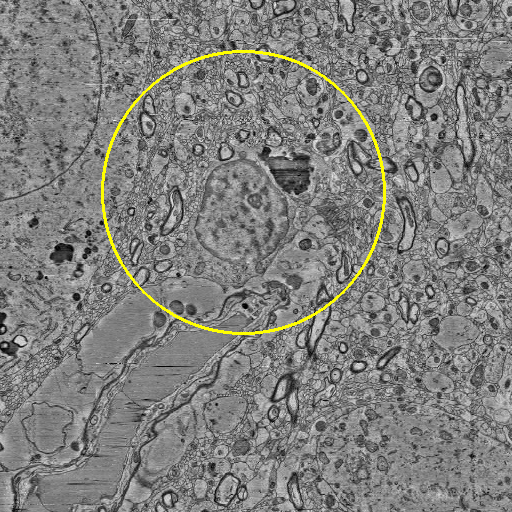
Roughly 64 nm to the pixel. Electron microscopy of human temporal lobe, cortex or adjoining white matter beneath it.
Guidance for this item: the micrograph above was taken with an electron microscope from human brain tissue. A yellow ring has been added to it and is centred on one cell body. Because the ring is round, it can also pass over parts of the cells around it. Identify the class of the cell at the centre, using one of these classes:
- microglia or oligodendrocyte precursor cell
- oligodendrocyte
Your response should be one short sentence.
The ring surrounds the body of an oligodendrocyte.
